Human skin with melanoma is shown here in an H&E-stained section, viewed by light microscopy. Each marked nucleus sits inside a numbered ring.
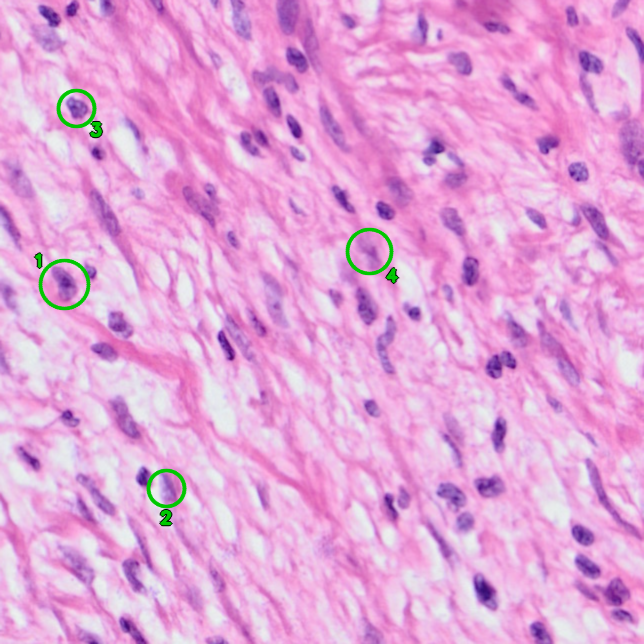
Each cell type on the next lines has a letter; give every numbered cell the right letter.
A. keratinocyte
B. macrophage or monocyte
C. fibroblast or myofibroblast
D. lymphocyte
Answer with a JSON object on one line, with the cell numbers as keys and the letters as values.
{"1": "B", "2": "C", "3": "D", "4": "C"}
